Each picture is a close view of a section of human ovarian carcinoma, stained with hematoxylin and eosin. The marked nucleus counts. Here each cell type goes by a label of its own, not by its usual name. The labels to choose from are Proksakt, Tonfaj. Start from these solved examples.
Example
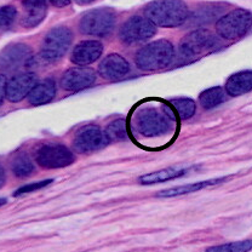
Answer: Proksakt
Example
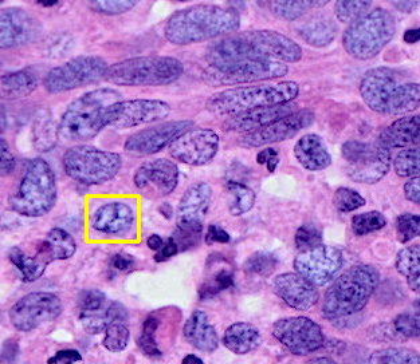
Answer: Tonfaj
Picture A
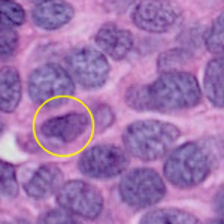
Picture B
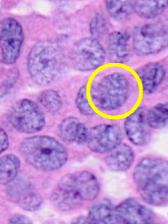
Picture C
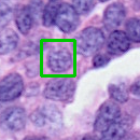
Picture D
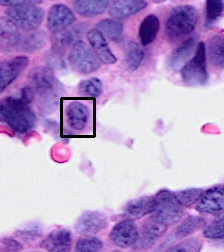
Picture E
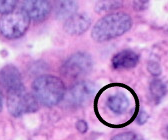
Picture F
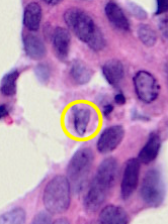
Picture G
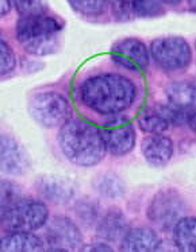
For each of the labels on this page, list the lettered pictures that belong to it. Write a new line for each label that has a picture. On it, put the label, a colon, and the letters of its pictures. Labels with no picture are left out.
Proksakt: A, B, C, G
Tonfaj: D, E, F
